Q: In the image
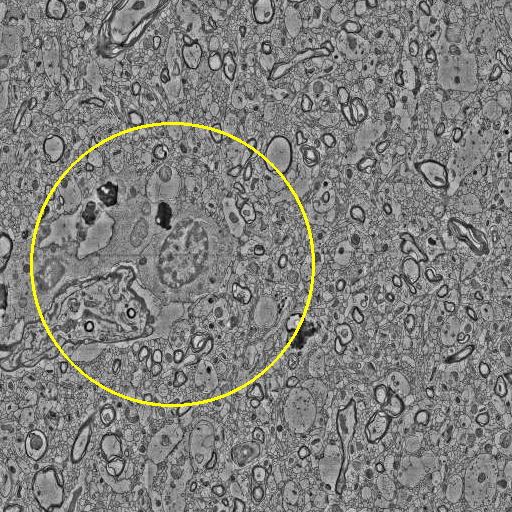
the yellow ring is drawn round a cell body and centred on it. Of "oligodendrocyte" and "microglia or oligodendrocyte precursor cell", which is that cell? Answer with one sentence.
The cell centred in the ring is an oligodendrocyte.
